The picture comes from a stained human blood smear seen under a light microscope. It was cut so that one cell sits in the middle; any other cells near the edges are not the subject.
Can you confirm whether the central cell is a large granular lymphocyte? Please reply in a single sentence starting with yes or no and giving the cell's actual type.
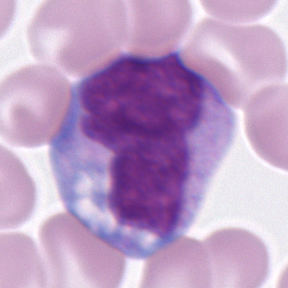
No, the cell at the centre of the crop corresponds to a monocyte, not a large granular lymphocyte.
